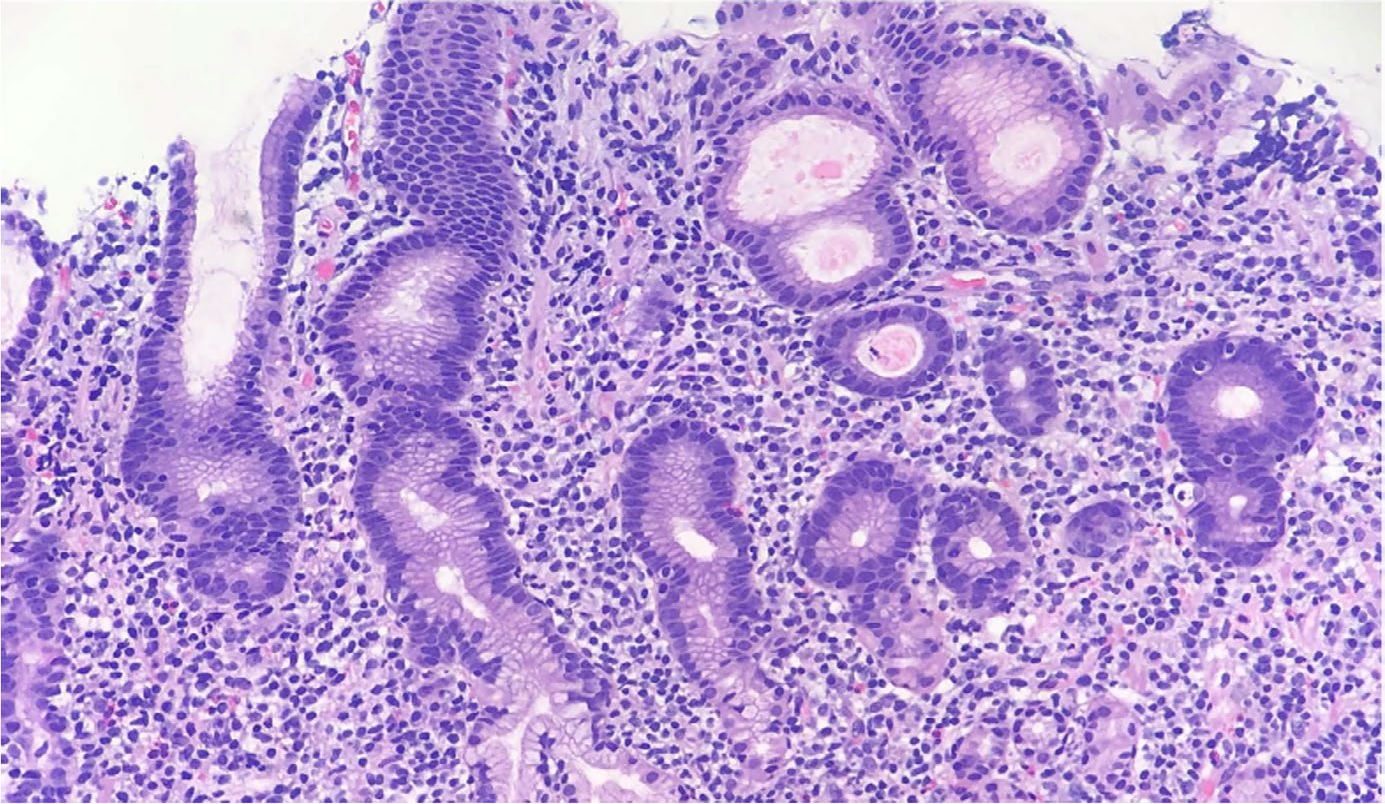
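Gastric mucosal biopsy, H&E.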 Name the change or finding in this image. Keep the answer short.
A: Dense infiltration of small to medium‐sized monocytoid lymphocytes.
